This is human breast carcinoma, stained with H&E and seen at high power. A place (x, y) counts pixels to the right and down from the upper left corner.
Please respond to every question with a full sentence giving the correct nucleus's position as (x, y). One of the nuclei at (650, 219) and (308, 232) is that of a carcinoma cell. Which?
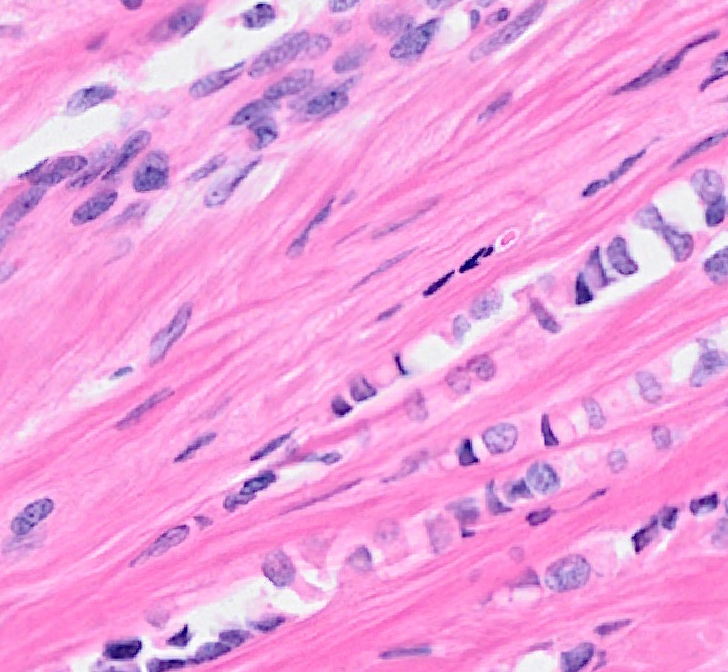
The nucleus at (650, 219) is attributed to a carcinoma cell, unlike the other nucleus.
